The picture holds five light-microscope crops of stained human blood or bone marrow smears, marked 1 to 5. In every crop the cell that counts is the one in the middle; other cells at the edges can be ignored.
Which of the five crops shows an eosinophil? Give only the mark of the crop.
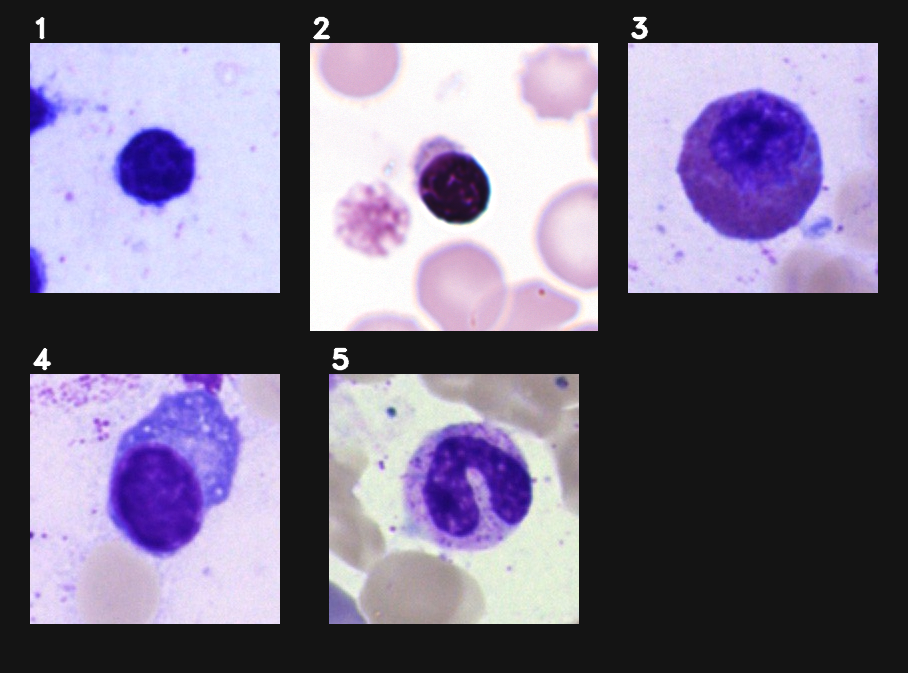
3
